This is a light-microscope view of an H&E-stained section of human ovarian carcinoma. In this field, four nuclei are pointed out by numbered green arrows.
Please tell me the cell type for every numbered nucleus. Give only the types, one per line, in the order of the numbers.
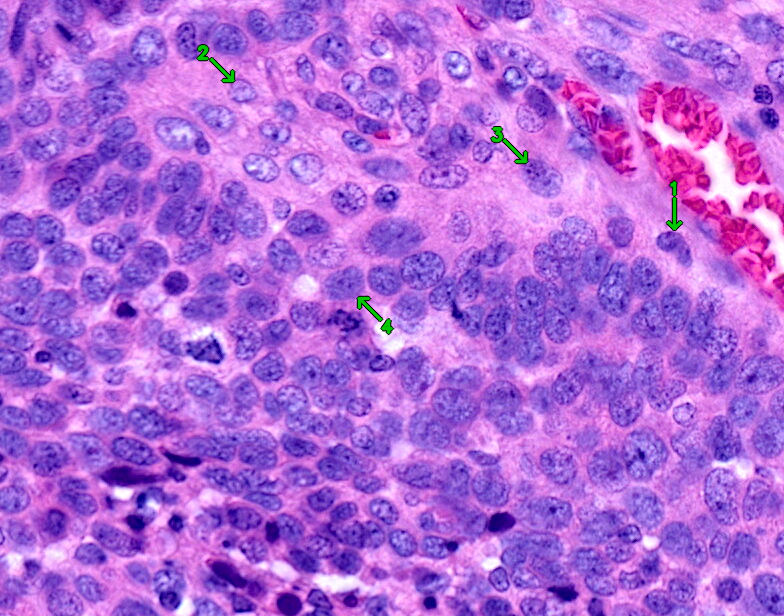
macrophage or monocyte
fibroblast
fibroblast
carcinoma cell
